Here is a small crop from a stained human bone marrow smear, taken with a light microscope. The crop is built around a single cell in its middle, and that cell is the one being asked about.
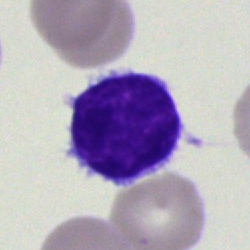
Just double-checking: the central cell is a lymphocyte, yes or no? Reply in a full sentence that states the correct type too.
Yes, in the centre of this field sits a lymphocyte.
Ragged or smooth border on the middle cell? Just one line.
Along its border, the cell is uneven, whether by ragged stretches or by projections.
